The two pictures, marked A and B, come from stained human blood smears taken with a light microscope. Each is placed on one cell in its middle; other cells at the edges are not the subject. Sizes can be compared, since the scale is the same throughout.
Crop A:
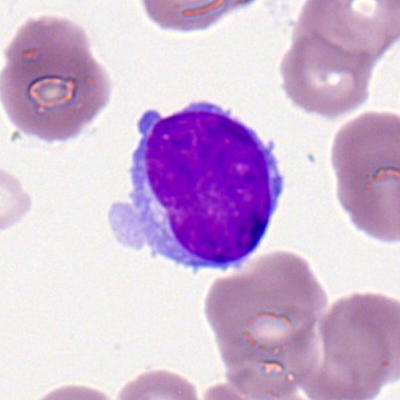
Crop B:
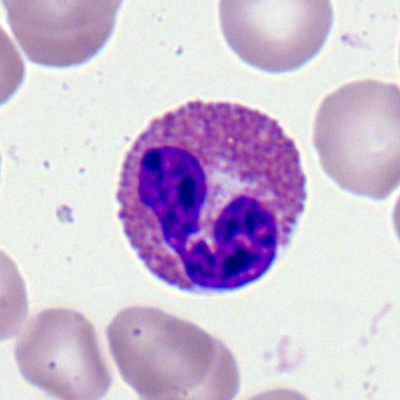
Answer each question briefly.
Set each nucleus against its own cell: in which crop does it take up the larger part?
A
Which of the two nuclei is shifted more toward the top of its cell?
A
